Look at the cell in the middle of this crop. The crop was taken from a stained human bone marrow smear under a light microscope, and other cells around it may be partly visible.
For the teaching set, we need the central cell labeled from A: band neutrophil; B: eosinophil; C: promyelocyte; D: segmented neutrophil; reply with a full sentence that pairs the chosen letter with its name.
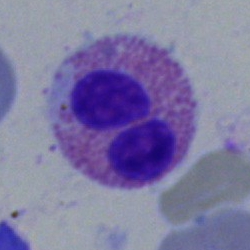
With the cell in the middle being an eosinophil, option B is the correct choice.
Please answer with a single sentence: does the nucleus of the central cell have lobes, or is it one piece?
The nuclear outline breaks up into two or more lobes.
